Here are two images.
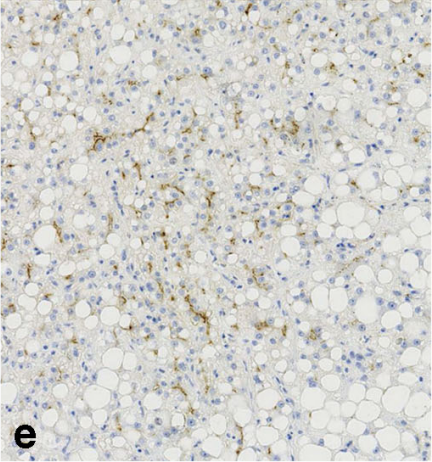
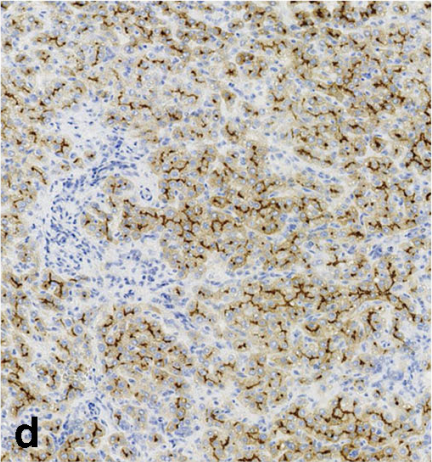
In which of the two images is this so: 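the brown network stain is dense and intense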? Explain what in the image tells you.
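First image: the brown lines are thin, faint and sparse among fat vacuoles. Second image: a dark brown branching network covers most of the field.
Conclusion: the second image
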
